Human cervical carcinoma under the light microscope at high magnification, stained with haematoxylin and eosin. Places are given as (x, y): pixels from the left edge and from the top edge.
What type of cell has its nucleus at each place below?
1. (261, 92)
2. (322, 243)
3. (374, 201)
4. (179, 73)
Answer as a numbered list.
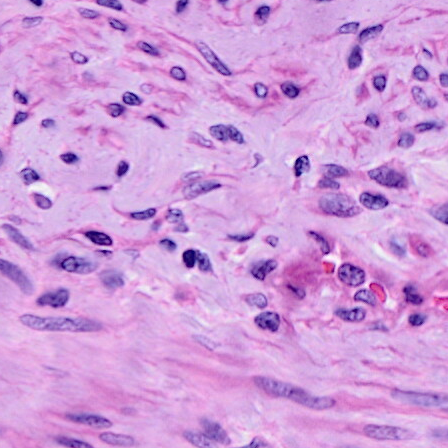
1. smooth muscle cell
2. endothelial cell
3. lymphocyte
4. smooth muscle cell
